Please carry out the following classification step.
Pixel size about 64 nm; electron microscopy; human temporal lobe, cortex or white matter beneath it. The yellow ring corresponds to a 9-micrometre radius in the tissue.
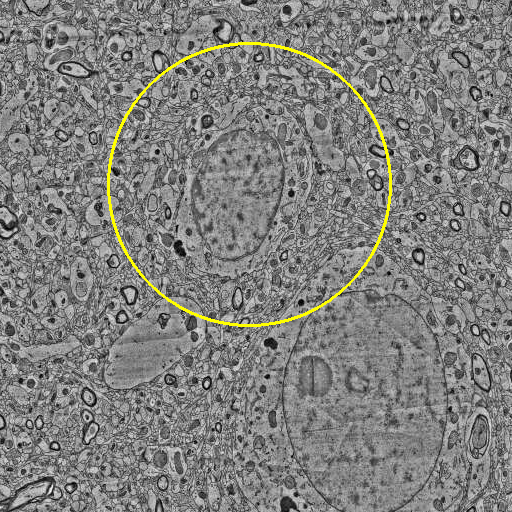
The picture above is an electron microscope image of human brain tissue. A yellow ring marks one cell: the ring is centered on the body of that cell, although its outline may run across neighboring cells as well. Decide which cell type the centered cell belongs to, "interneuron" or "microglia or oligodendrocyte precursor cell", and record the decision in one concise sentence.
The cell centered in the yellow ring is an interneuron.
